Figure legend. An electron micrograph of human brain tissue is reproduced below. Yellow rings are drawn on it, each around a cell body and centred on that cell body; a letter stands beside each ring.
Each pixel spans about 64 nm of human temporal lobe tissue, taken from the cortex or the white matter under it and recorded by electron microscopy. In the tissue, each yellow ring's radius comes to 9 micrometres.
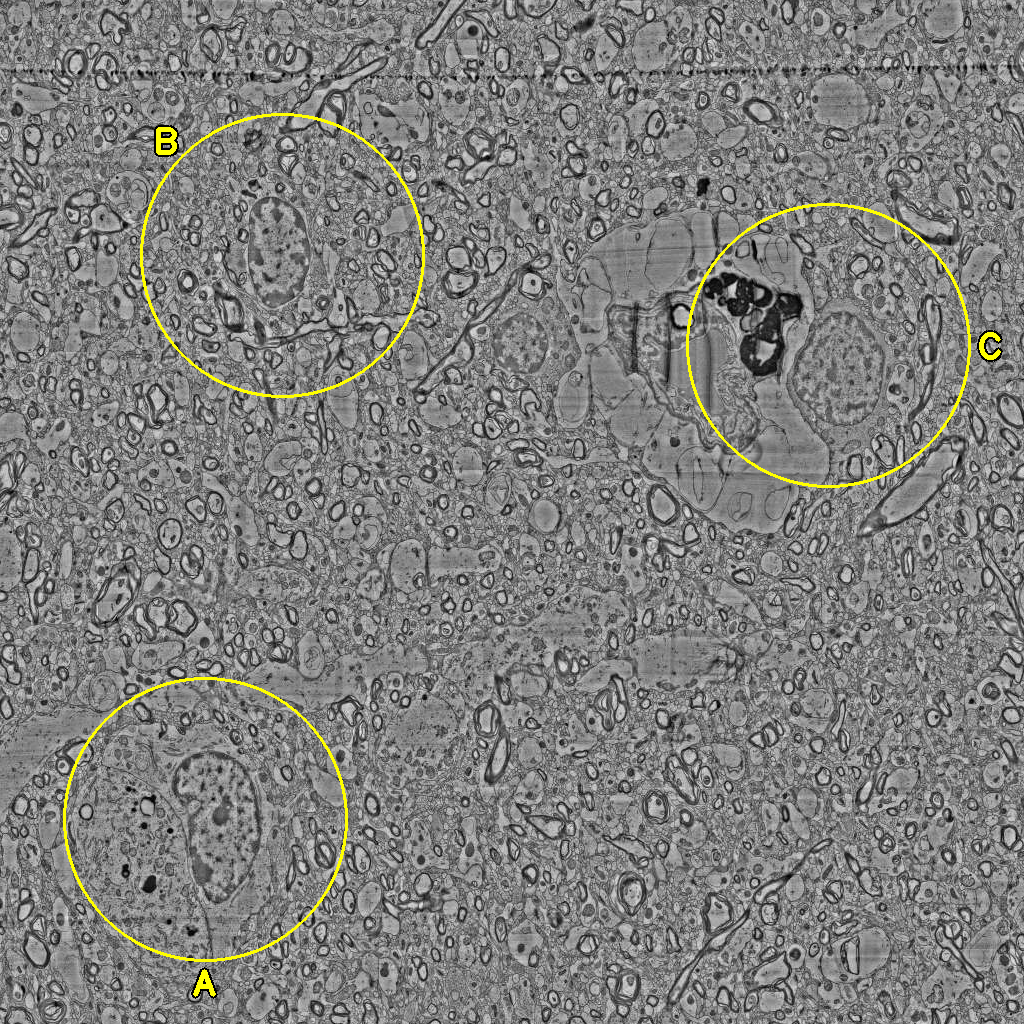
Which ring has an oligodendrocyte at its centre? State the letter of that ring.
C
